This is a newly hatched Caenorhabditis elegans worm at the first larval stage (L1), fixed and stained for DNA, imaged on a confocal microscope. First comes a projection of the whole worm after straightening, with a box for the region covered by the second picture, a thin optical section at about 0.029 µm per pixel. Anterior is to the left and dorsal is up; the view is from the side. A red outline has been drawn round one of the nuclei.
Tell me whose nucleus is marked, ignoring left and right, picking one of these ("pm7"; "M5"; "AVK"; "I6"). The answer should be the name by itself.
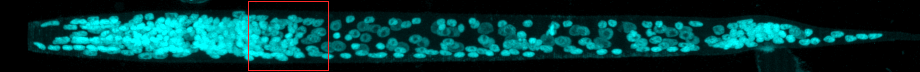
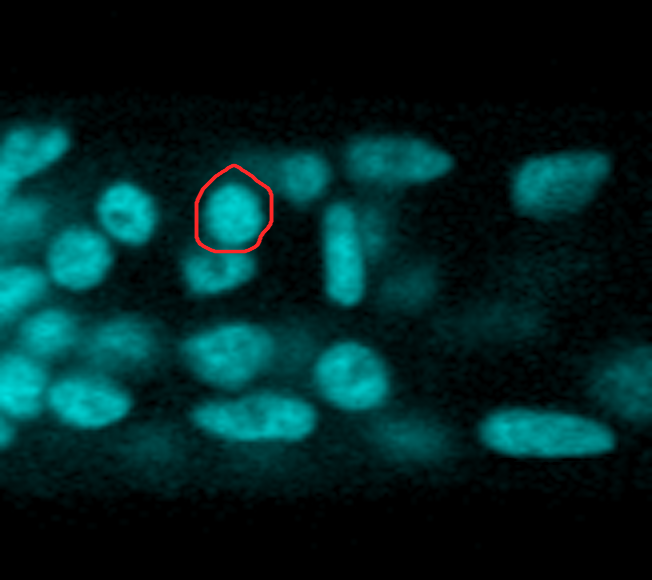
M5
